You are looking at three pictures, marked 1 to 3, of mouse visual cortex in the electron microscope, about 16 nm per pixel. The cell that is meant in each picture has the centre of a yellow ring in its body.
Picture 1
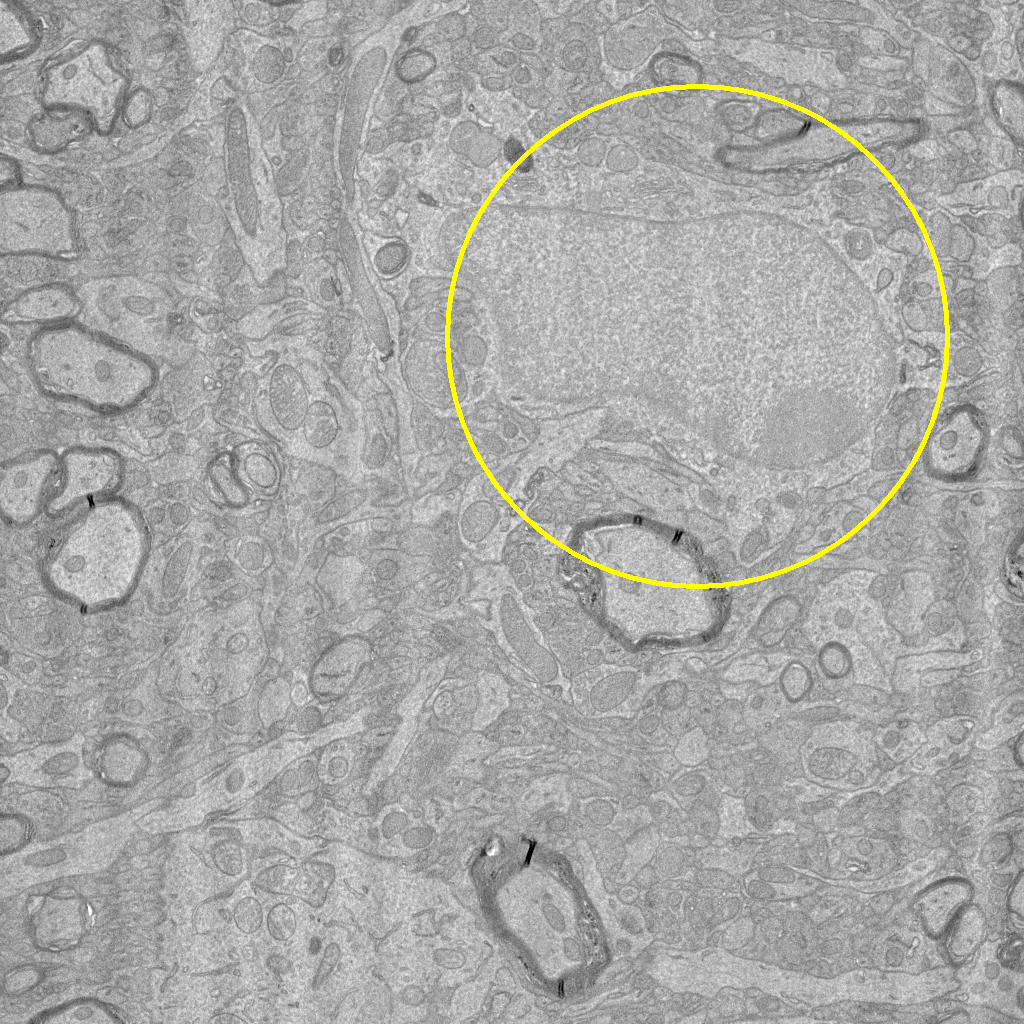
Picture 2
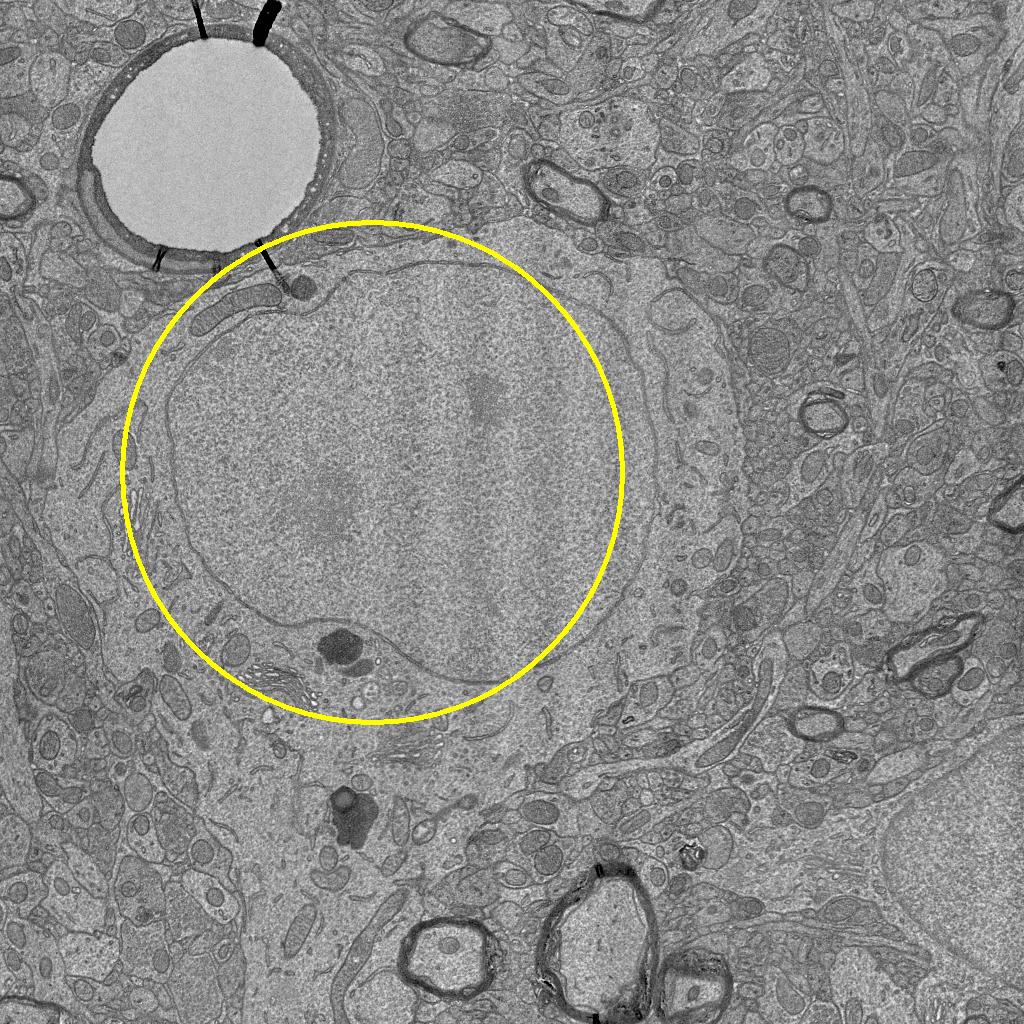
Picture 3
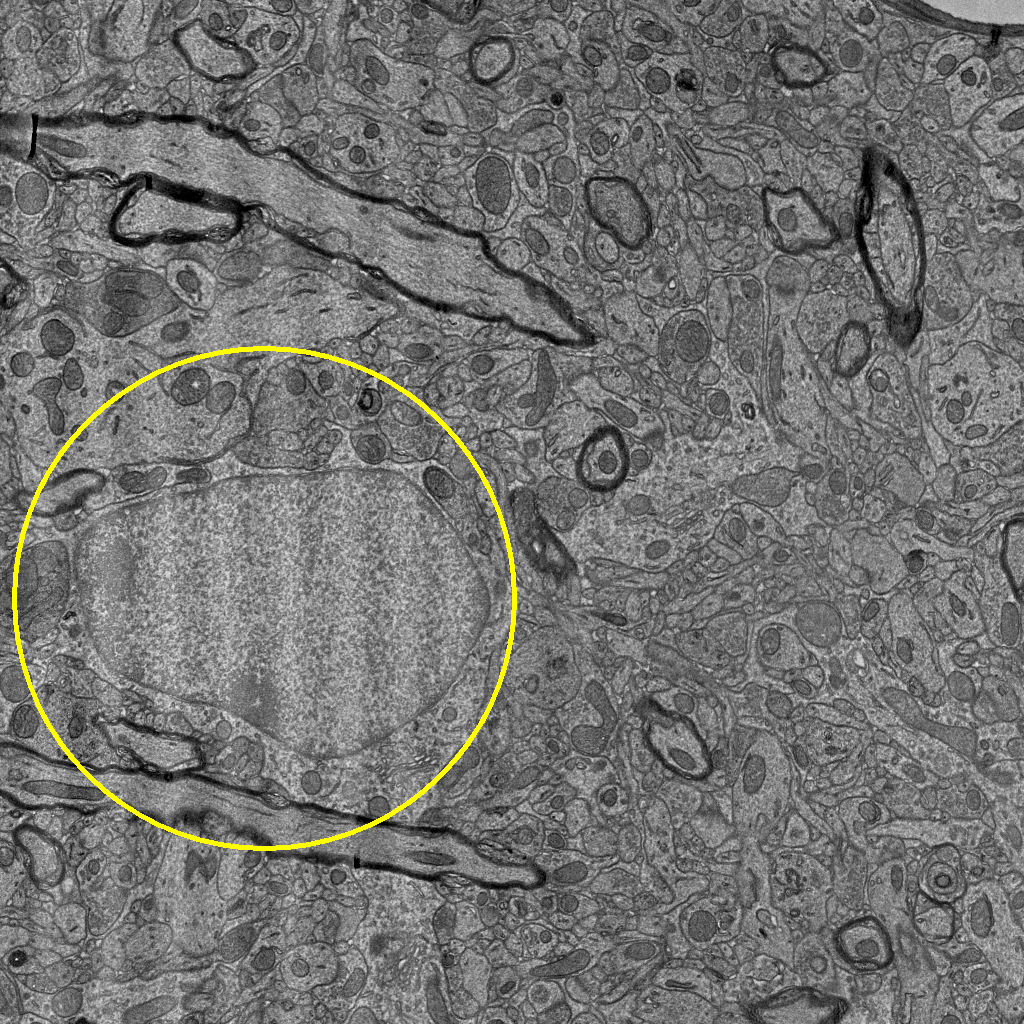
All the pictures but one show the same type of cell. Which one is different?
The different one is picture 2; it shows an excitatory neuron, whereas all the others show astrocytes.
